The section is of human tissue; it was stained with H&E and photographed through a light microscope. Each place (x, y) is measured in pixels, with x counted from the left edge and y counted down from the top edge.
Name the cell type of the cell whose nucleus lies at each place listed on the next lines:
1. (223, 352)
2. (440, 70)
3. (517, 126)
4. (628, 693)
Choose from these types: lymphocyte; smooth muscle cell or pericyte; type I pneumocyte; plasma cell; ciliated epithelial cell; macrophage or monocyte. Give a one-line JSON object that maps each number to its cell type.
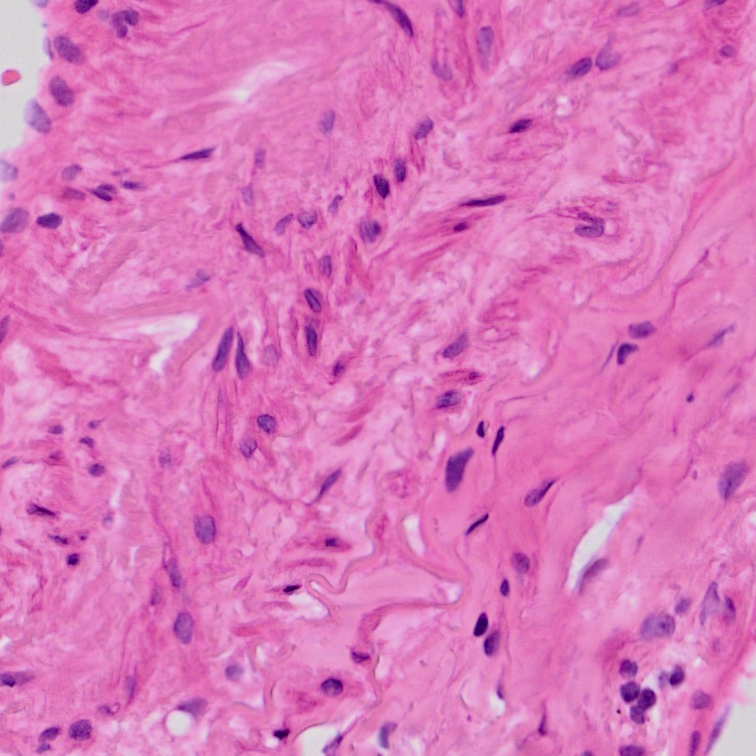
{"1": "smooth muscle cell or pericyte", "2": "smooth muscle cell or pericyte", "3": "smooth muscle cell or pericyte", "4": "lymphocyte"}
